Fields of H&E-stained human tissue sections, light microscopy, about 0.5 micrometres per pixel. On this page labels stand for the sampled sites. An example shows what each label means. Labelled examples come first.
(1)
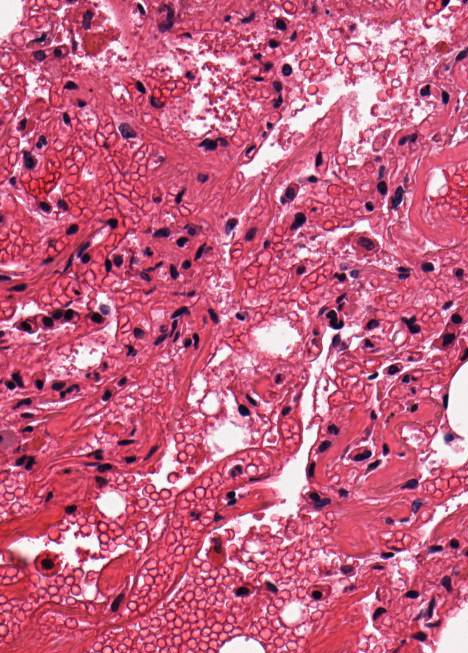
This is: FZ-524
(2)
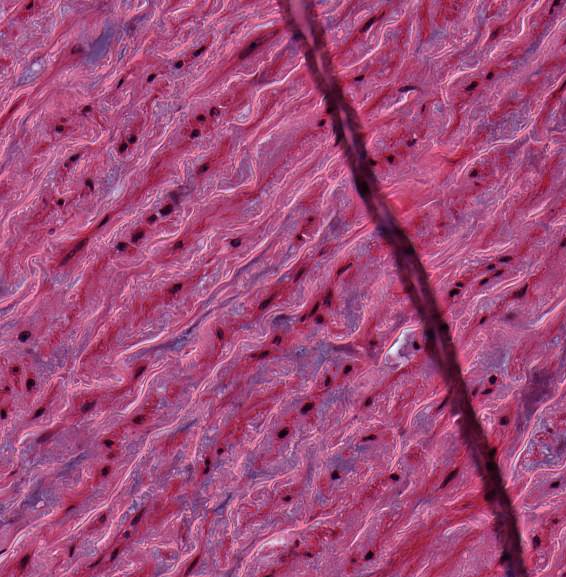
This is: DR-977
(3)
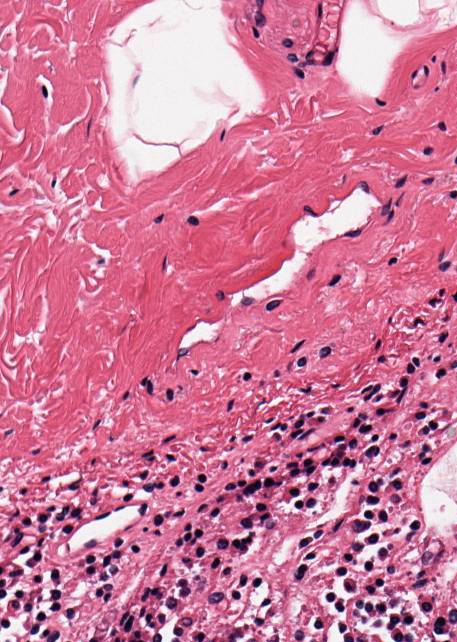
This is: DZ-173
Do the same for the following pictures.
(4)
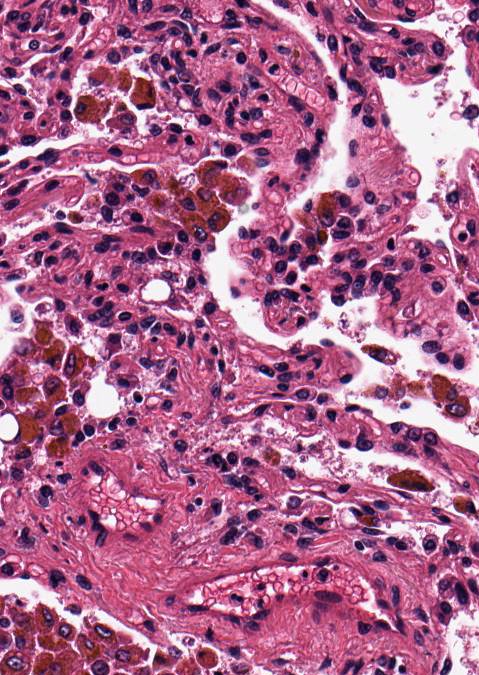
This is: FZ-524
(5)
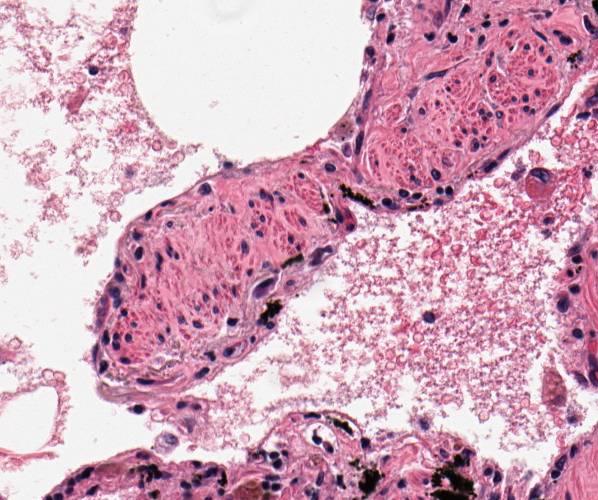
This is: FZ-524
